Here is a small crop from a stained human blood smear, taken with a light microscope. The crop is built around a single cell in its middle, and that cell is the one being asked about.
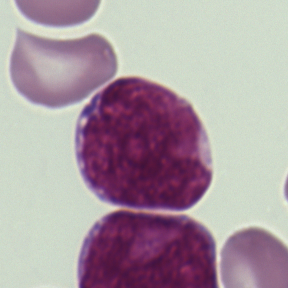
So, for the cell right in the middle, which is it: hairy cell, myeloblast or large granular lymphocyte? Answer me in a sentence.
On this slide crop, the central cell is a myeloblast.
